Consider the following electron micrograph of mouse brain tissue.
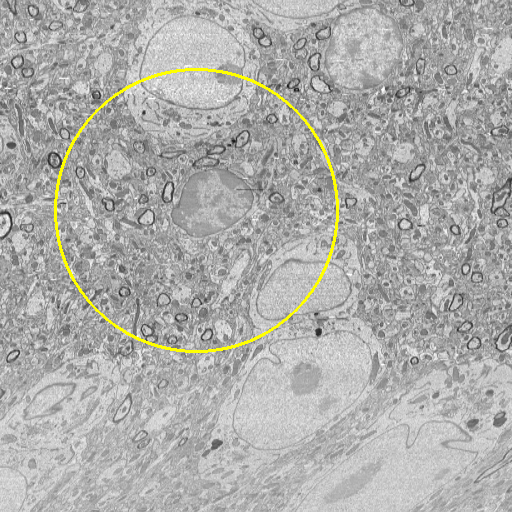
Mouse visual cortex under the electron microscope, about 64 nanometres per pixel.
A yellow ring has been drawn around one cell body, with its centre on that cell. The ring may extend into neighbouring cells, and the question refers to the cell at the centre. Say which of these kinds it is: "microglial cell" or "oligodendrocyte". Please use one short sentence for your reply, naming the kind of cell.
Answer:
The centre of the ring falls on a microglial cell.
